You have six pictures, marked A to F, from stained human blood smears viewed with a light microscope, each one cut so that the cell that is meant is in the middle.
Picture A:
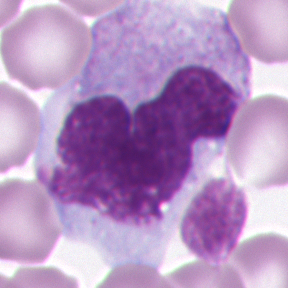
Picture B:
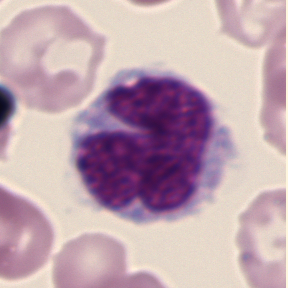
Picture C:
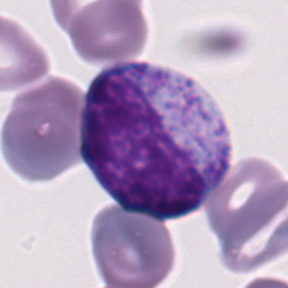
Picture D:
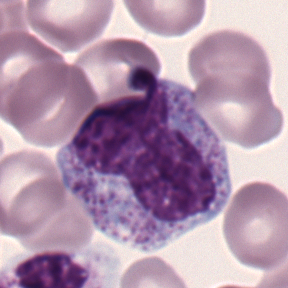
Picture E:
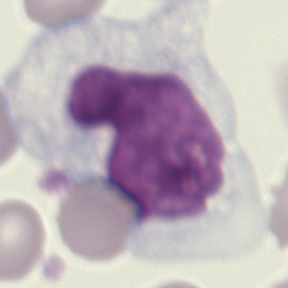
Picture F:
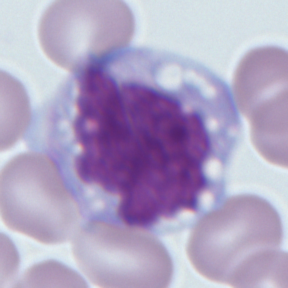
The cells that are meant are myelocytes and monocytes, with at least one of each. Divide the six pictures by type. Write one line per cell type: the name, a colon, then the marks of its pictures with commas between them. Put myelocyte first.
myelocyte: C, D
monocyte: A, B, E, F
